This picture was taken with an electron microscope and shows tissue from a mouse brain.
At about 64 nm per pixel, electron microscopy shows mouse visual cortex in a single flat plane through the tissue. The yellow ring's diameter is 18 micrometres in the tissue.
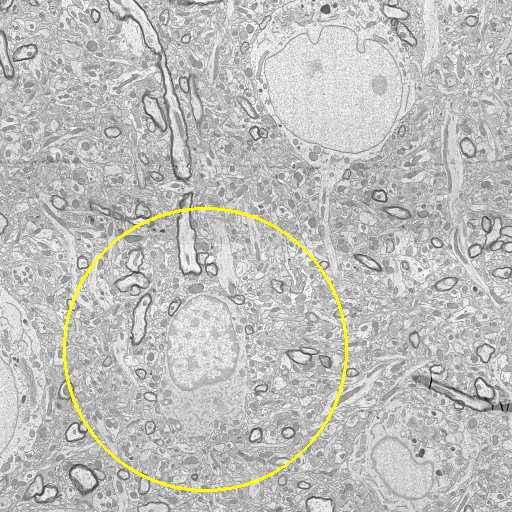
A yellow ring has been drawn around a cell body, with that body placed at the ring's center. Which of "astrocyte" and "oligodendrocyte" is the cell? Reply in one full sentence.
In this picture, an oligodendrocyte is the cell at the center of the yellow ring.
